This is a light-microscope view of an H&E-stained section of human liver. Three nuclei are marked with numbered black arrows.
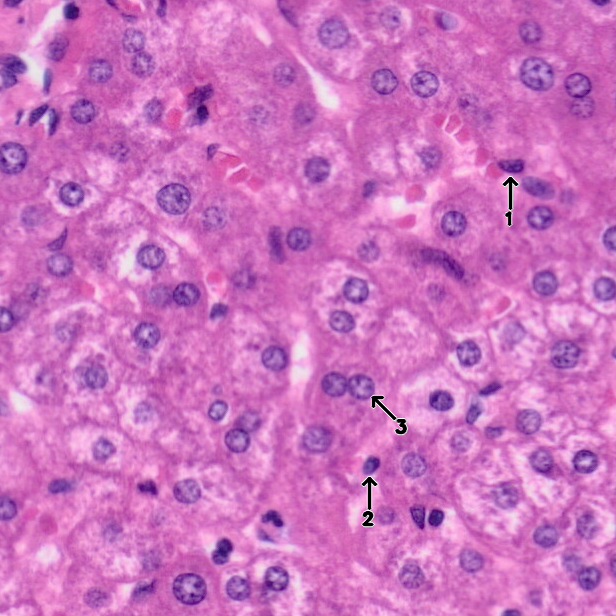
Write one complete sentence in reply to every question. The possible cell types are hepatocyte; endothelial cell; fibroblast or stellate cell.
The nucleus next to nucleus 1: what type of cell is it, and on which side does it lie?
The nearest one is an endothelial cell, found below and to the right of nucleus 1.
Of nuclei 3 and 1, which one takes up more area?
Of the two, number 3 is bigger and takes up about 2 times the area of number 1.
